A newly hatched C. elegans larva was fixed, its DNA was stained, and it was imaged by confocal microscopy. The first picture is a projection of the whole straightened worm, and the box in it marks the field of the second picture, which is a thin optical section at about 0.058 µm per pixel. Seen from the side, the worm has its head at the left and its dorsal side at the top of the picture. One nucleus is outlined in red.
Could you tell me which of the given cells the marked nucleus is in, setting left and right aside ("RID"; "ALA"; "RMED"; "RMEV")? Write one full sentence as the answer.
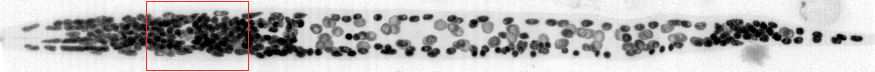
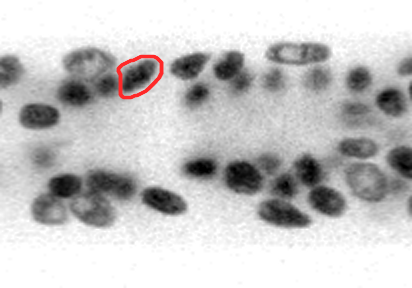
The marked nucleus belongs to RMED, a neuron.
